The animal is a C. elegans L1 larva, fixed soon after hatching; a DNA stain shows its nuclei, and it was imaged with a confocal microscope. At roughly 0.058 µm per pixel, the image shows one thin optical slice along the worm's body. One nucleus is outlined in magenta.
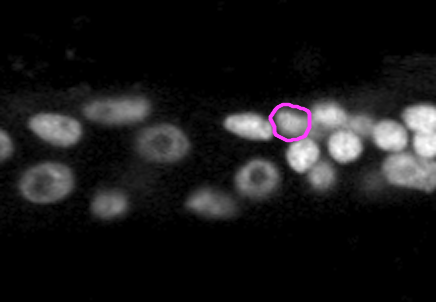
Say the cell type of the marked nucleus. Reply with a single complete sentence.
The cell with the marked nucleus is a neuron.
